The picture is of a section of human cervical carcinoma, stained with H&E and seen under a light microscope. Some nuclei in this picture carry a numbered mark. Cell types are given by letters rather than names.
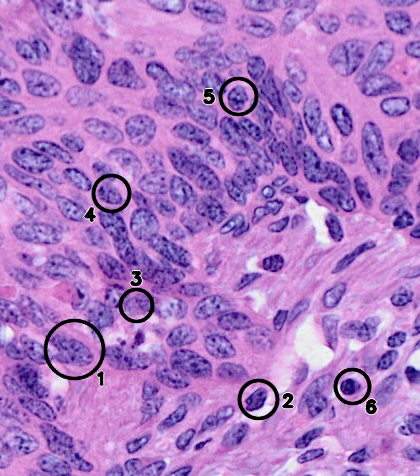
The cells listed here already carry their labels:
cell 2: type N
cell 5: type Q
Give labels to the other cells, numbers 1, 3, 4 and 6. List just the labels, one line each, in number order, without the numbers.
type Q
type Q
type Q
type N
